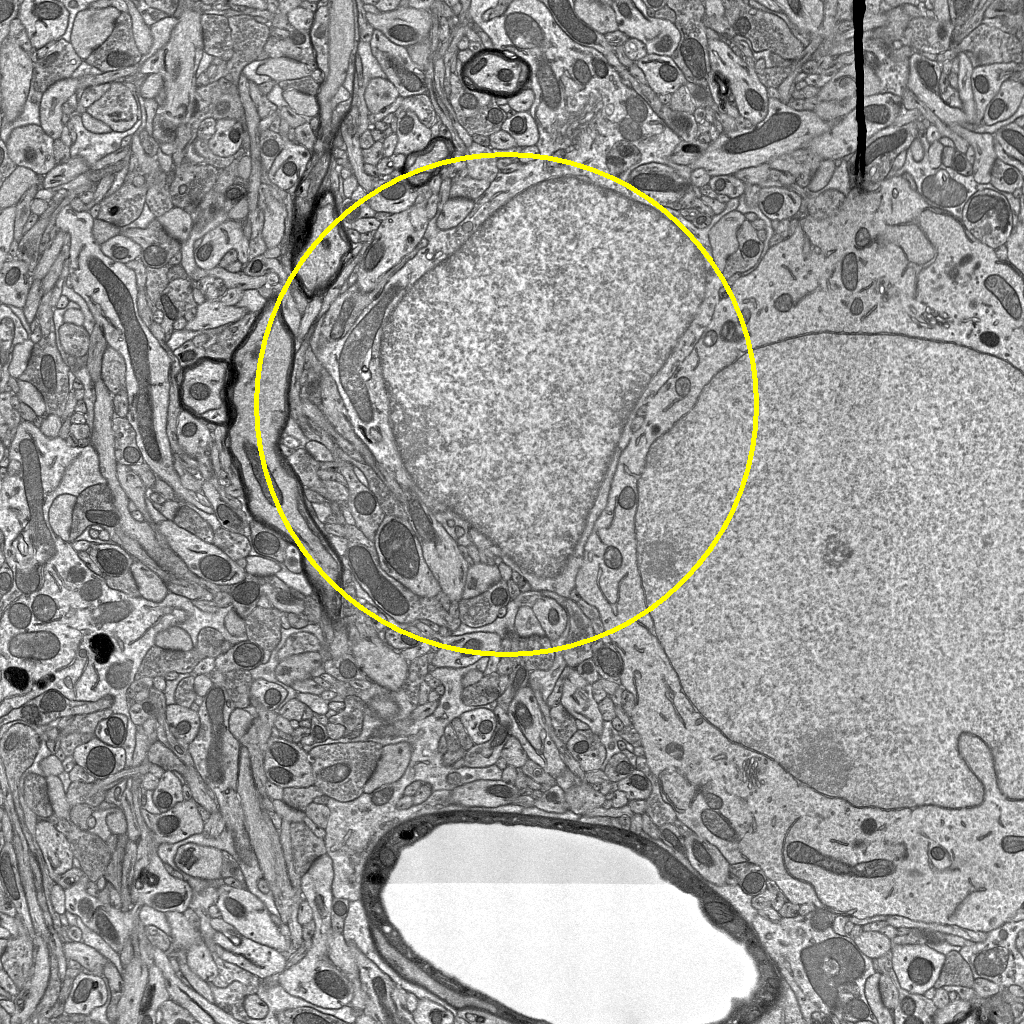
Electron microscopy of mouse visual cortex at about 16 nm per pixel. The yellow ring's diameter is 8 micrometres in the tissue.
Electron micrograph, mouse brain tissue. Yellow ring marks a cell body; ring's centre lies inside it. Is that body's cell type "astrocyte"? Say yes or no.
yes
